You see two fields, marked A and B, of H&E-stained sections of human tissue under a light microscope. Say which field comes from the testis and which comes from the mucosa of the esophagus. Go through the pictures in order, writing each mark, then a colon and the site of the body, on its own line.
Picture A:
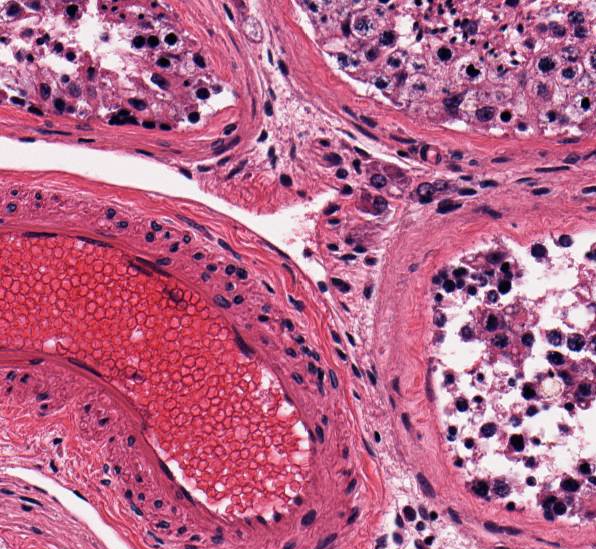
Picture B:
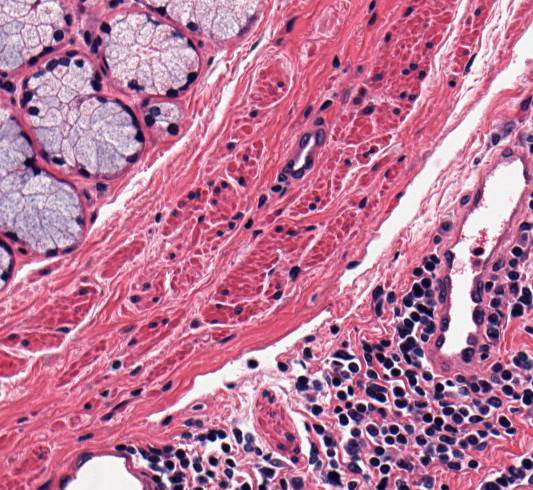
A: testis
B: mucosa of the esophagus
